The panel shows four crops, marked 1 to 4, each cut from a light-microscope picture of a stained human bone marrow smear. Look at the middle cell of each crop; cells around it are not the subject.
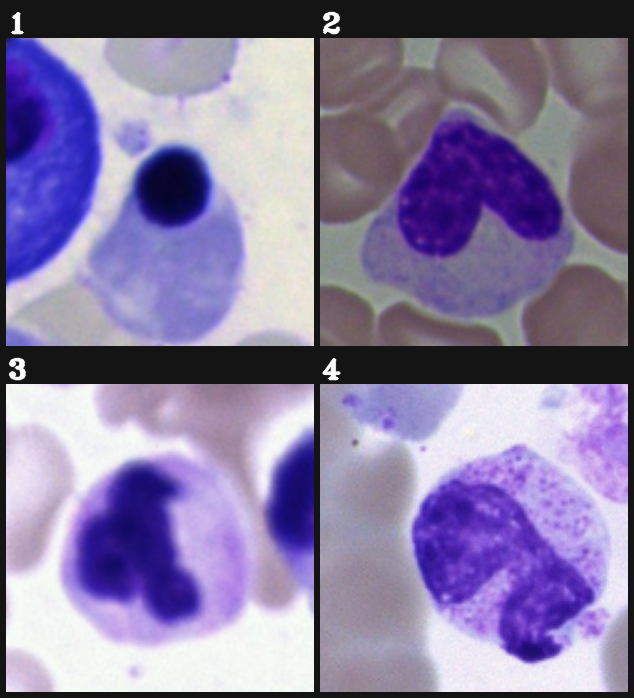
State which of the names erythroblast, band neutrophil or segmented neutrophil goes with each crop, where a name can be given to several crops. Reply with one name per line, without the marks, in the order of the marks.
erythroblast
band neutrophil
segmented neutrophil
band neutrophil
